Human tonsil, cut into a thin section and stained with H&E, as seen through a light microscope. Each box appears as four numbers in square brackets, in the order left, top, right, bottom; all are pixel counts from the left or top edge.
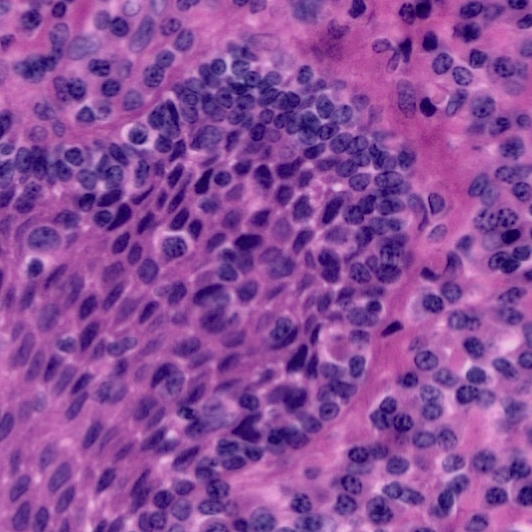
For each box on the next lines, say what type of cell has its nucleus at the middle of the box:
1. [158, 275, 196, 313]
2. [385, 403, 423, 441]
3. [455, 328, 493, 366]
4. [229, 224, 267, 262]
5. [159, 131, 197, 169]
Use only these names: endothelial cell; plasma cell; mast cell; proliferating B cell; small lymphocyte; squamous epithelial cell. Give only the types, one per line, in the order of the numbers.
squamous epithelial cell
plasma cell
plasma cell
squamous epithelial cell
squamous epithelial cell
